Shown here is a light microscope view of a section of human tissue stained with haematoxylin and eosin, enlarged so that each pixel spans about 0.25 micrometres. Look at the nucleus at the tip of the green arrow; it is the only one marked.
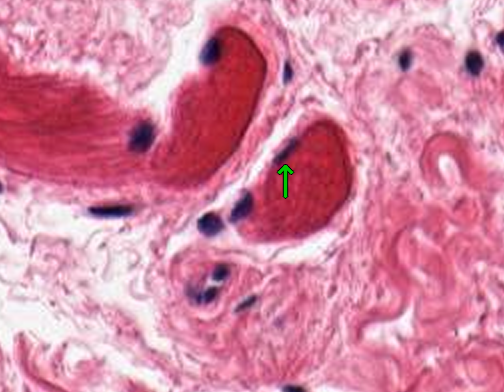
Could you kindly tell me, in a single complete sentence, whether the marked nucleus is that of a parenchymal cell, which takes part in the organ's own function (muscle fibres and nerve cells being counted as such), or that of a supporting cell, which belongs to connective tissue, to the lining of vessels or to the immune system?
The marked nucleus is part of the parenchyma, belonging to a skeletal muscle fibre.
